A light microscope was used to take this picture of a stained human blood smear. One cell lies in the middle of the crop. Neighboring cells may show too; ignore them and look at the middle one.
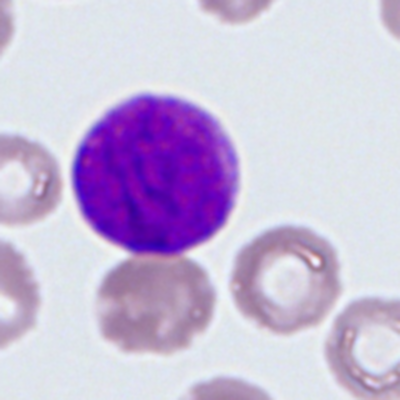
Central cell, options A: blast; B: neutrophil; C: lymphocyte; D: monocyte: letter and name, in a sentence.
The central cell is a blast, which makes option A the right answer.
